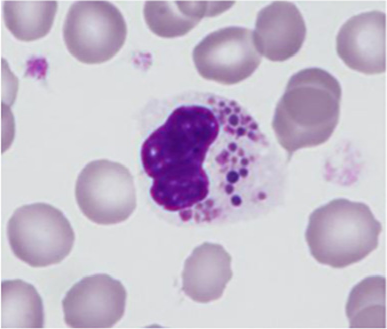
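This is a blood smear showing one granulocyte, a polymorphonuclear leukocyte, among pale pink round red cells that have no nucleus. The nucleus of the white cell is deep purple, coarse and divided into lobes, and it lies toward one side of the cell. The cytoplasm is pale and holds many round granules. They stain purple to pinkish-red, and many are strikingly large, much coarser than the fine granules of a normal neutrophil. The granules crowd the side of the cell opposite the nucleus. A few small pink platelet fragments lie loose in the background.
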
